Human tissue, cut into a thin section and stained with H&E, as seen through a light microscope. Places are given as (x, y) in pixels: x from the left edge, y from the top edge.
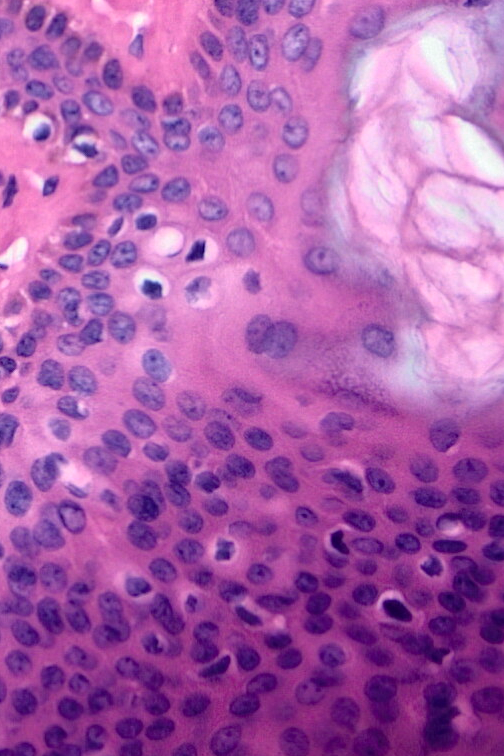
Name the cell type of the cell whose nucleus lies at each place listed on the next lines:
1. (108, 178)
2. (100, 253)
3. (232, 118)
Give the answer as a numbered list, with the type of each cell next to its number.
1. basal keratinocyte
2. basal keratinocyte
3. suprabasal keratinocyte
